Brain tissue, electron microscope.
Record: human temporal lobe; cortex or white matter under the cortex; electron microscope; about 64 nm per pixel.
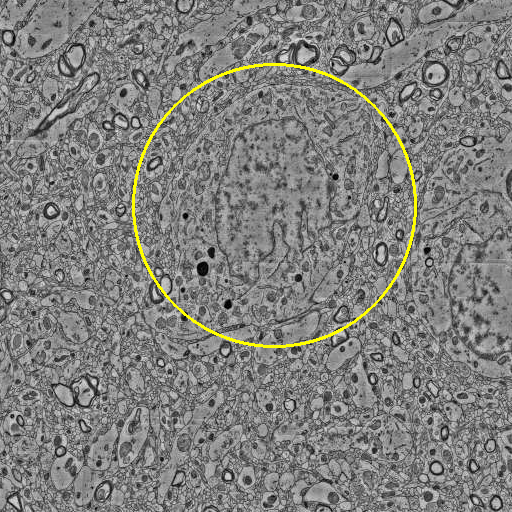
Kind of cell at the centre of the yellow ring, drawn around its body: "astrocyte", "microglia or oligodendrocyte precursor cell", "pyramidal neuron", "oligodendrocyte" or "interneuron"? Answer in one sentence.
The ring's centre falls on an interneuron.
